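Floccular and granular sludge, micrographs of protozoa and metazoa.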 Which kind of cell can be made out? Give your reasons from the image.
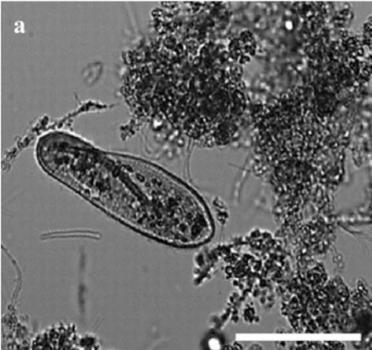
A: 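Swimming ciliate. A single free elongate oval cell lies apart from the sludge floc. The cell has a smooth rounded outline and granular cytoplasm. The cell has no stalk or attachment.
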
